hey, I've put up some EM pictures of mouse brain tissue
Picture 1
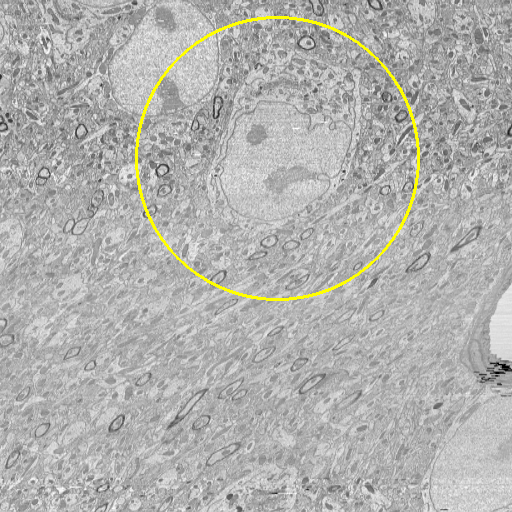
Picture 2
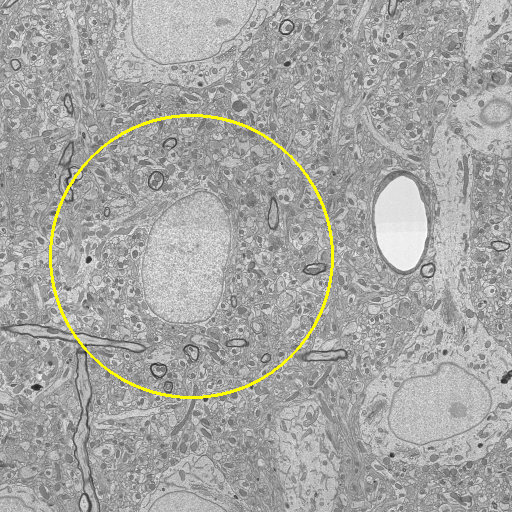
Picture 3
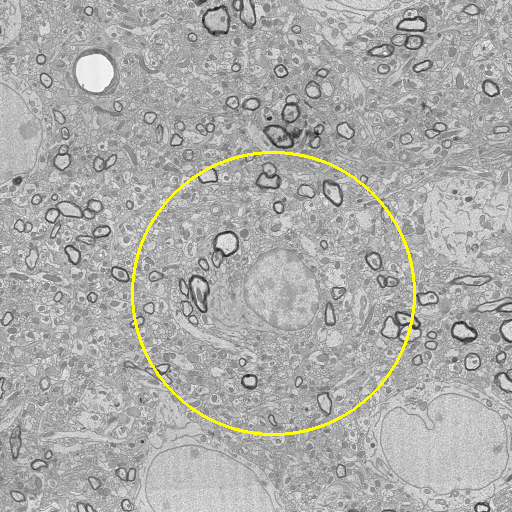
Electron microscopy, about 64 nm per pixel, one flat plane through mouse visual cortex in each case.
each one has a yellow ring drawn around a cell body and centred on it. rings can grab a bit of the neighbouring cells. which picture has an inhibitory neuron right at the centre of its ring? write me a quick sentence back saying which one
It's Picture 1.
